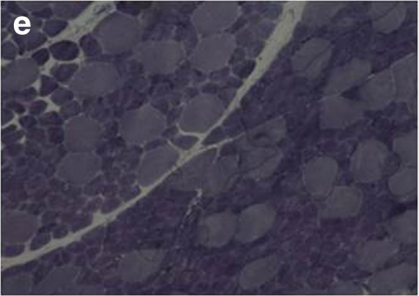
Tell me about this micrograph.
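Skeletal muscle fibres in cross-section showing a marked variation in fibre size. Most fibres are small and stain dark purple, packed closely together. Scattered among them are larger, rounded fibres that stain paler. A band of pale connective tissue runs obliquely across the field.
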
